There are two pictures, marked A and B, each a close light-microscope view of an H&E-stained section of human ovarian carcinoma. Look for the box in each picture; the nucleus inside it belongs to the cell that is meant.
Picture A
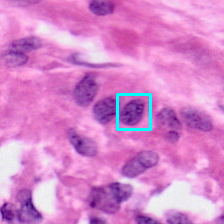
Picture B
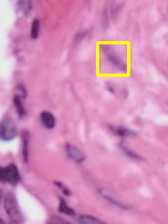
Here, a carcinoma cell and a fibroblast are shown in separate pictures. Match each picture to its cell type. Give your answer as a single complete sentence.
Picture A is of a carcinoma cell, and picture B is of a fibroblast.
